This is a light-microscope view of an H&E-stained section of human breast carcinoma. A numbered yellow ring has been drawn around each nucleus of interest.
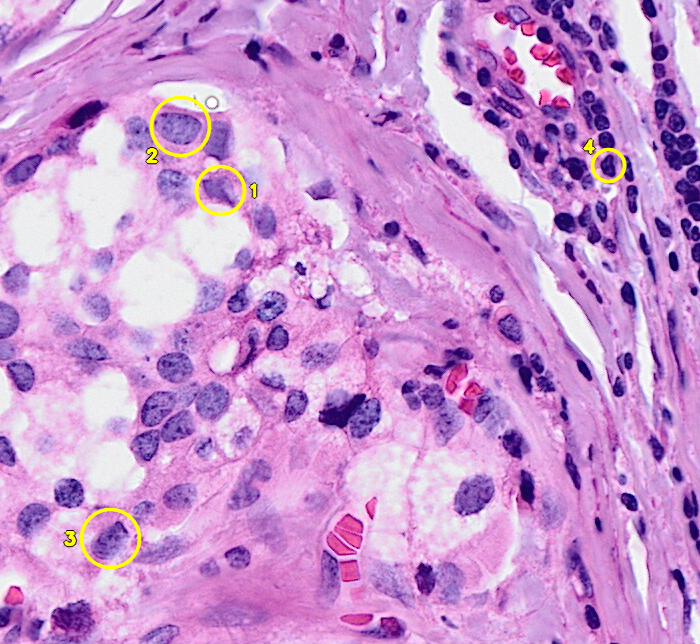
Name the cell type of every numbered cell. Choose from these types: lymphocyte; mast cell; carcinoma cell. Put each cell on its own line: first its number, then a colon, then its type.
1: carcinoma cell
2: carcinoma cell
3: carcinoma cell
4: lymphocyte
